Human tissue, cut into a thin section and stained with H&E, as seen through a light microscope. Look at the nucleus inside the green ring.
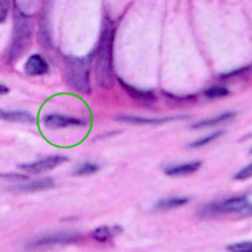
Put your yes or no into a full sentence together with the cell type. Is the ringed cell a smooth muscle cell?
No, the ringed cell is not a smooth muscle cell; a fibroblast is what it is.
